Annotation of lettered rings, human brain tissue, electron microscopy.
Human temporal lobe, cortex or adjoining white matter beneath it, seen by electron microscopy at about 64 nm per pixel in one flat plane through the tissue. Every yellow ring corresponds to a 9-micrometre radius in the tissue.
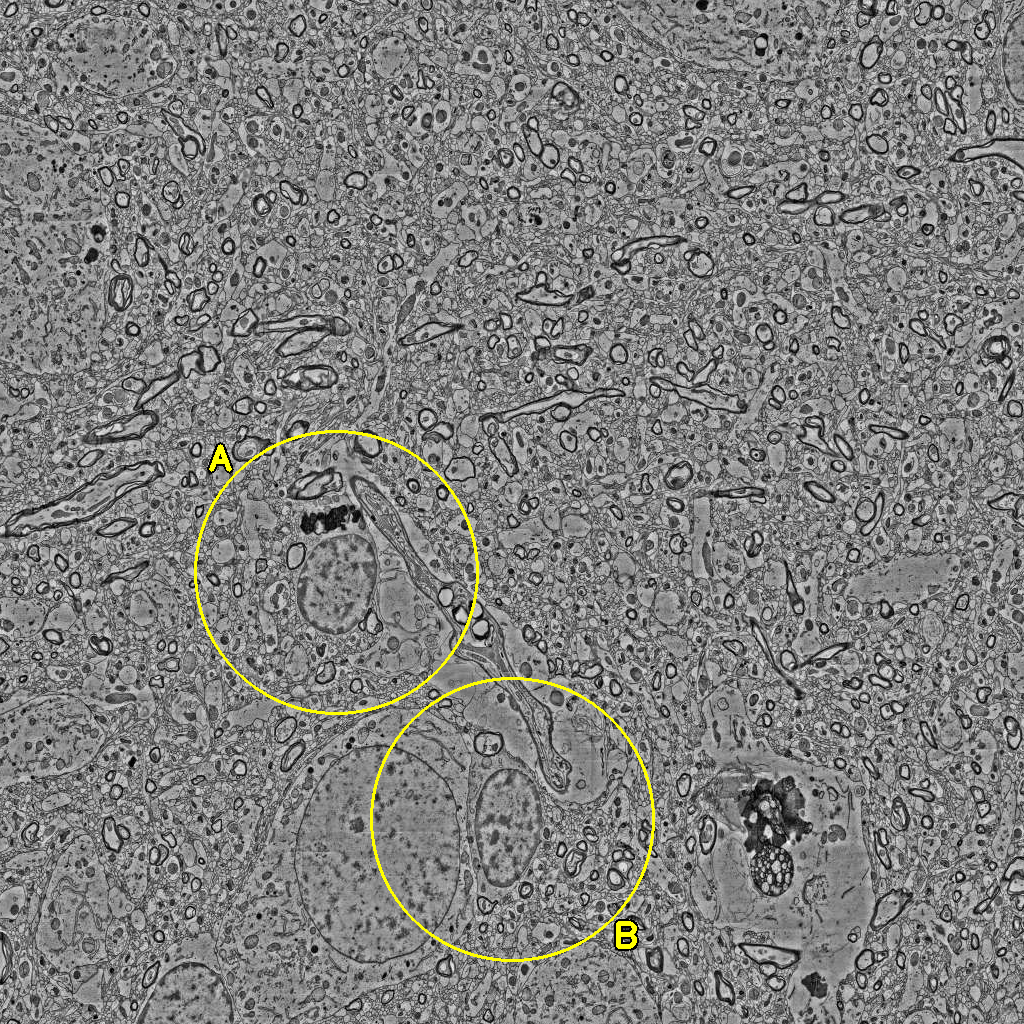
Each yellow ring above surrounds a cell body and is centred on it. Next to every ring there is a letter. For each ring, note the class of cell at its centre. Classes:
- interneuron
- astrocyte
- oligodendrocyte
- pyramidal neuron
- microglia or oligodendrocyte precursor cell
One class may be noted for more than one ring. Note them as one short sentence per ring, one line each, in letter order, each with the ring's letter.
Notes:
The class noted at ring A is an oligodendrocyte.
The class noted at ring B is an oligodendrocyte.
